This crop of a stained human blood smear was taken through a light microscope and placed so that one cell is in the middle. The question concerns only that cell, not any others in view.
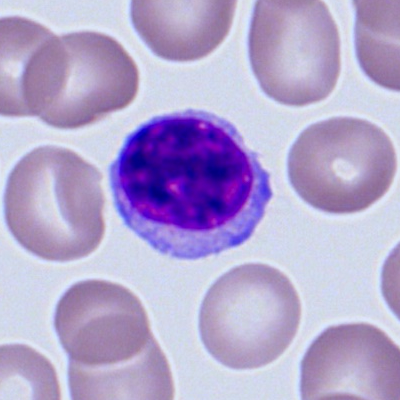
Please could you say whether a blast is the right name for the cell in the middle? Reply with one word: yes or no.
no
